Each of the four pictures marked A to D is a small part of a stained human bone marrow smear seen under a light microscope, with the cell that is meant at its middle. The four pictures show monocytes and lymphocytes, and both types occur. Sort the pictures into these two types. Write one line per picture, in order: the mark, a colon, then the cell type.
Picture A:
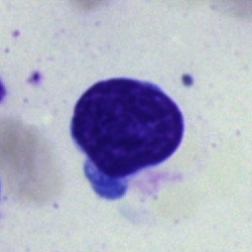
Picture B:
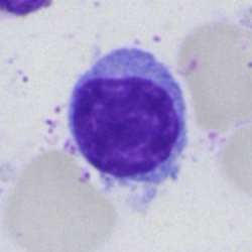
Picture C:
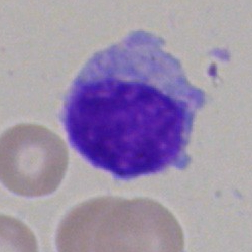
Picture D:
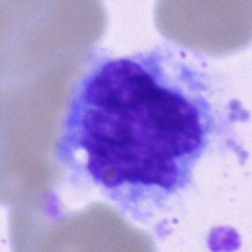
A: lymphocyte
B: lymphocyte
C: lymphocyte
D: monocyte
